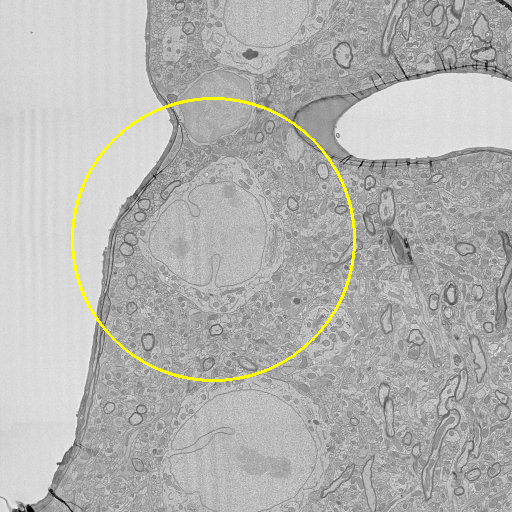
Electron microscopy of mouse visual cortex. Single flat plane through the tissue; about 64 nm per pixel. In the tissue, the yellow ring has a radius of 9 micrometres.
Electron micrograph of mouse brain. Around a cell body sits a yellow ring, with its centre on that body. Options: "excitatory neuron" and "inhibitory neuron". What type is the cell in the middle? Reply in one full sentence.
The cell sitting at the centre of the yellow ring is an excitatory neuron.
